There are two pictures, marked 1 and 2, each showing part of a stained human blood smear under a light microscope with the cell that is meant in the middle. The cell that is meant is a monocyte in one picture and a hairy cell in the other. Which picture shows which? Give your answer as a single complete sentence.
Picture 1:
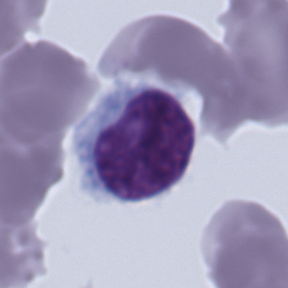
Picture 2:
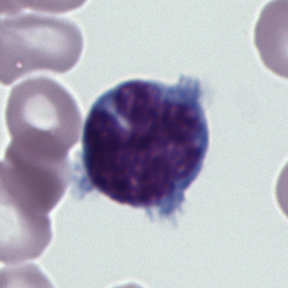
Picture 2 shows a monocyte, while picture 1 shows a hairy cell.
